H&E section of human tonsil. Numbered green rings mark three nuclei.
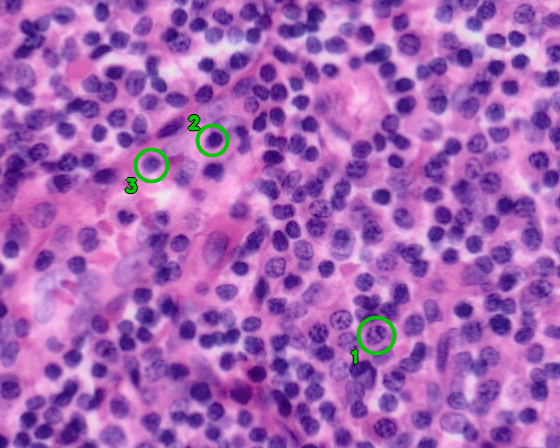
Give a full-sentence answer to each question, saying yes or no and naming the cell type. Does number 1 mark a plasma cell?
Yes, looking at number 1, that cell is a plasma cell.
